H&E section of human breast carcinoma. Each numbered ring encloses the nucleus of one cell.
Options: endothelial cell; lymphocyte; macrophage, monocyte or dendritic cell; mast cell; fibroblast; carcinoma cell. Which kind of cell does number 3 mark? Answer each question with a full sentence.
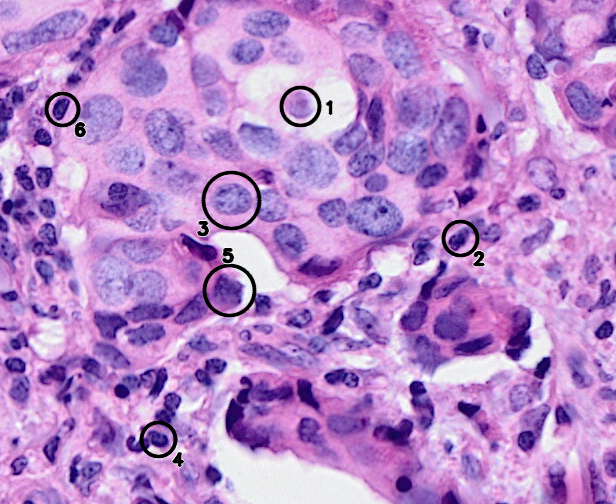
In this section, the cell numbered 3 is a carcinoma cell.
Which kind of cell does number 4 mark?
The cell referred to as 4 is a lymphocyte.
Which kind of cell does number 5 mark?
Identified by the number 5, the cell is a carcinoma cell.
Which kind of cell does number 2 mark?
The one labeled 2 is a lymphocyte, to put it simply.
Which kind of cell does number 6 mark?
Number 6 among the marked cells is a lymphocyte.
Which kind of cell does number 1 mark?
The one labeled 1 is a carcinoma cell, to put it simply.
